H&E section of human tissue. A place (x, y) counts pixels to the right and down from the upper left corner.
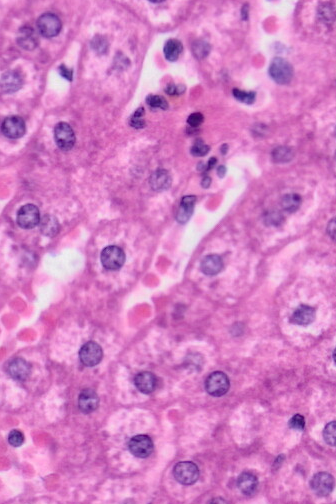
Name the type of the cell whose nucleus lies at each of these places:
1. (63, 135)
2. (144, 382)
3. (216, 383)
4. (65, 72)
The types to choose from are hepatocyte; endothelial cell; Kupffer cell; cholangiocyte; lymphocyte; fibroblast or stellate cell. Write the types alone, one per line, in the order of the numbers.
hepatocyte
hepatocyte
hepatocyte
endothelial cell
